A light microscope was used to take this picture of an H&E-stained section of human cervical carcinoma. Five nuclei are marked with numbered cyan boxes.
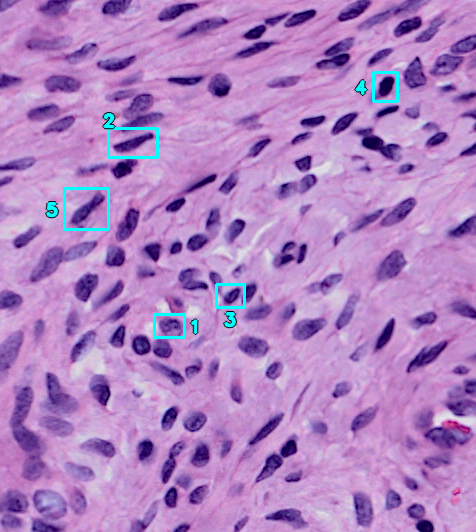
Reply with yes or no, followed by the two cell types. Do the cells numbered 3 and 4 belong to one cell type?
No, cell 3 is a fibroblast and cell 4 is a lymphocyte.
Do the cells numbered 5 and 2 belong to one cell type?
Yes, both are fibroblasts.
